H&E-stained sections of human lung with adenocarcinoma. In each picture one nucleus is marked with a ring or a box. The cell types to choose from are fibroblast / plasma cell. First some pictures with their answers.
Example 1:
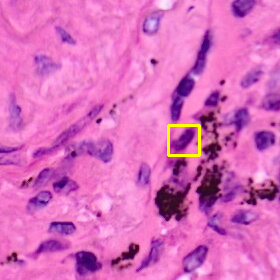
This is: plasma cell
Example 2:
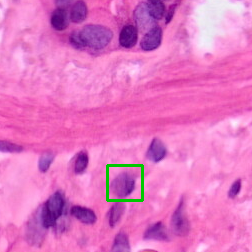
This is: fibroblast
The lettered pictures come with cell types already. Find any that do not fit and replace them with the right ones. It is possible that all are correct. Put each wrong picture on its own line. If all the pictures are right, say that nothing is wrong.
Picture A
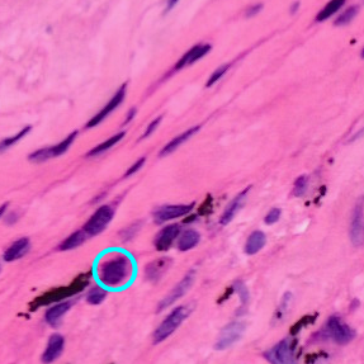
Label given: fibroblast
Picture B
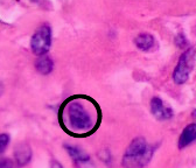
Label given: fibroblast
A is labelled fibroblast; correct label: plasma cell
B is labelled fibroblast; correct label: plasma cell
